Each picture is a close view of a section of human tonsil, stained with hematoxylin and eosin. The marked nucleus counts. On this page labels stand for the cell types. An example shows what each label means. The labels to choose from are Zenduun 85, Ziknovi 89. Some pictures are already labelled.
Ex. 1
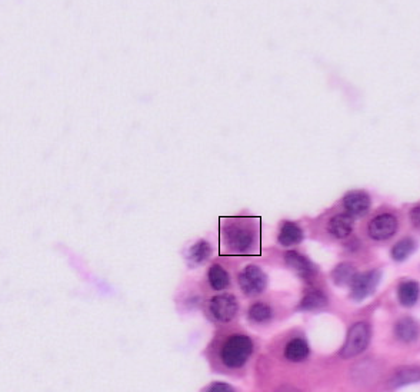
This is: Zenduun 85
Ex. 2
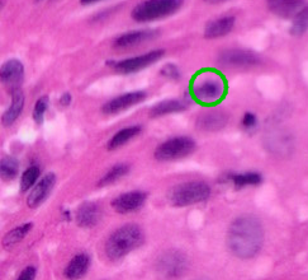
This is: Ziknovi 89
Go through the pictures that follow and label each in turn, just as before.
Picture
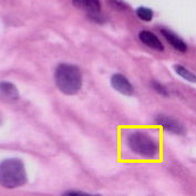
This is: Ziknovi 89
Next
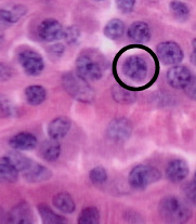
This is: Zenduun 85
